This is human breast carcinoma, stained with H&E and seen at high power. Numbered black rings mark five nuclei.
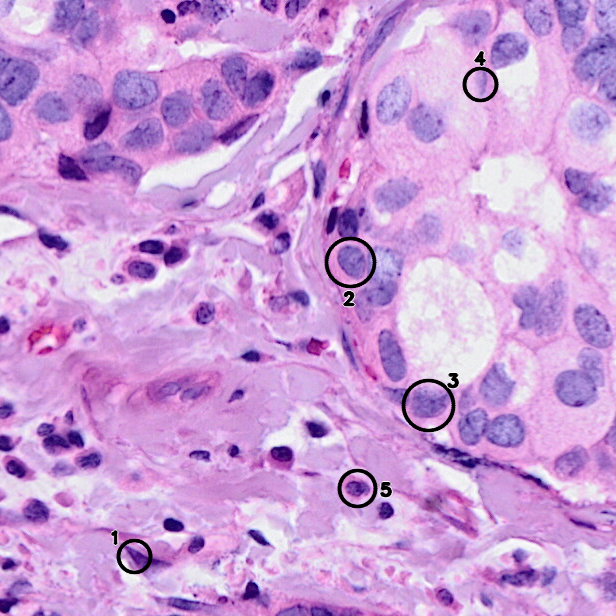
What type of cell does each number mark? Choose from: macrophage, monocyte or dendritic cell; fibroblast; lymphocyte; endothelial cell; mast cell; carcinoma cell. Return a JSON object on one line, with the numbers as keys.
{"1": "fibroblast", "2": "carcinoma cell", "3": "carcinoma cell", "4": "carcinoma cell", "5": "mast cell"}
